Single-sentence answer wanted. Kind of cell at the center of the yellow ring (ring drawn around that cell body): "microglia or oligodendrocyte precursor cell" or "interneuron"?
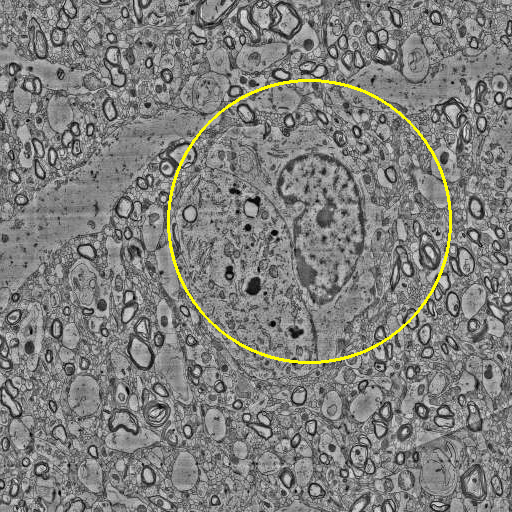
The cell centered in the ring is a microglial cell or oligodendrocyte precursor cell.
